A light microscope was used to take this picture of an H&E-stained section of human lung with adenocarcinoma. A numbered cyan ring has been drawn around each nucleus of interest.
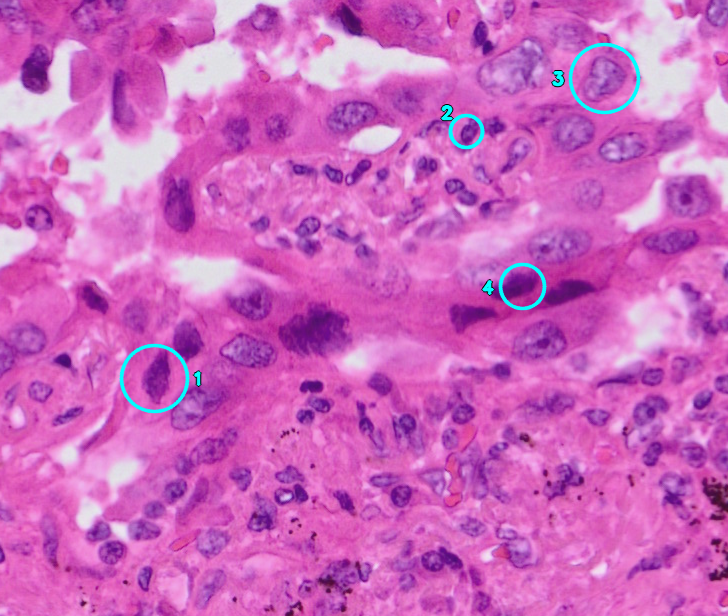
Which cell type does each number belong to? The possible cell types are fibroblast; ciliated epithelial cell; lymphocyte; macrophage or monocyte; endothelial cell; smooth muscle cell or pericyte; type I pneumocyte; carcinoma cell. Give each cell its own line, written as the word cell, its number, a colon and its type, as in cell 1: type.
cell 1: carcinoma cell
cell 2: lymphocyte
cell 3: carcinoma cell
cell 4: carcinoma cell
